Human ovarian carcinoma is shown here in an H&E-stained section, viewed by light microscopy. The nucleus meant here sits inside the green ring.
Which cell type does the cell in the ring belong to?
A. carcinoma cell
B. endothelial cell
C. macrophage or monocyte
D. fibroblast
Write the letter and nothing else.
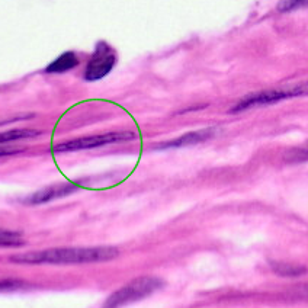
D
